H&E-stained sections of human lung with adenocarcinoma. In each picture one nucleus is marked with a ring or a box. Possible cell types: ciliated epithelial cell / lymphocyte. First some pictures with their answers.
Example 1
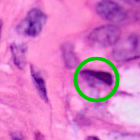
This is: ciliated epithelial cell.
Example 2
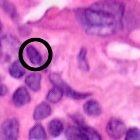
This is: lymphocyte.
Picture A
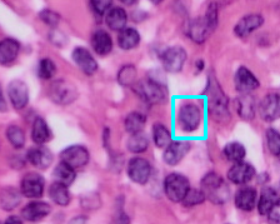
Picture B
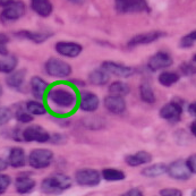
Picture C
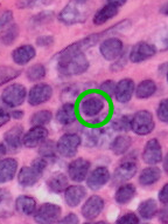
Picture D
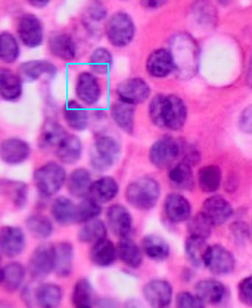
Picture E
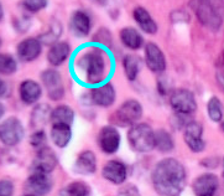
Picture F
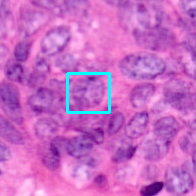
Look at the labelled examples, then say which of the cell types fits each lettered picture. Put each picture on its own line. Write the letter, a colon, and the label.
A: lymphocyte.
B: lymphocyte.
C: lymphocyte.
D: lymphocyte.
E: lymphocyte.
F: ciliated epithelial cell.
